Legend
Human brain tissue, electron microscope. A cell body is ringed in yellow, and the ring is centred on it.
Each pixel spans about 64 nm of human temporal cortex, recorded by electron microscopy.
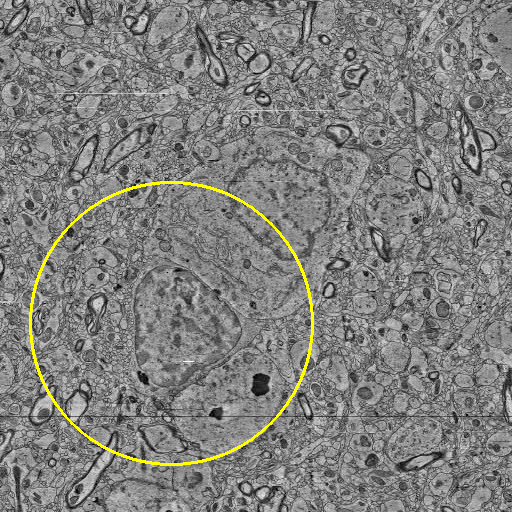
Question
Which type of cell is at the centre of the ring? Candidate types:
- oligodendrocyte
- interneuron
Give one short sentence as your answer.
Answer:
The yellow ring is centred here on an oligodendrocyte.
